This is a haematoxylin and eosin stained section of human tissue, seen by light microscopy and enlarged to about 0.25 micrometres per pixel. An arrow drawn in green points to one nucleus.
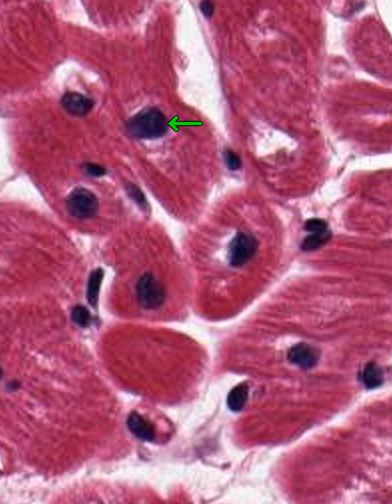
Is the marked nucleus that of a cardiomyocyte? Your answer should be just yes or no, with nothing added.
yes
